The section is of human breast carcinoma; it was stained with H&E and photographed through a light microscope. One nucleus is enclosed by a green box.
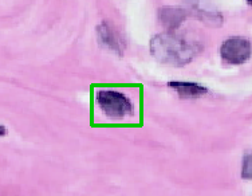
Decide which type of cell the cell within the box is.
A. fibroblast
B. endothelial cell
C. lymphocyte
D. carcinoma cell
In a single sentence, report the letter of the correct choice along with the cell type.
Option C is the correct one: the cell within the box is a lymphocyte.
